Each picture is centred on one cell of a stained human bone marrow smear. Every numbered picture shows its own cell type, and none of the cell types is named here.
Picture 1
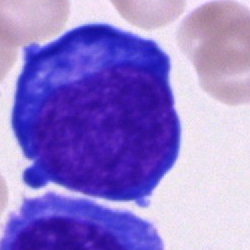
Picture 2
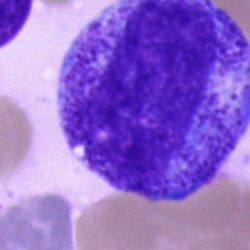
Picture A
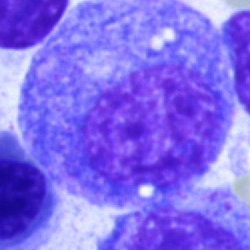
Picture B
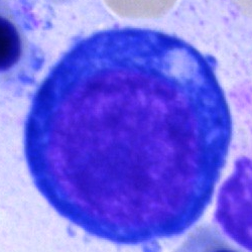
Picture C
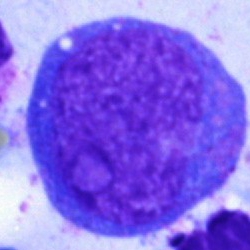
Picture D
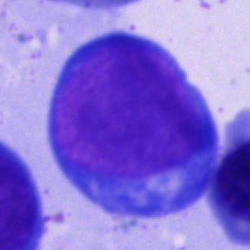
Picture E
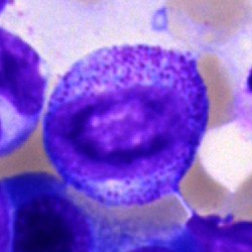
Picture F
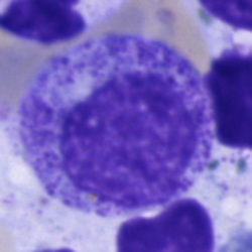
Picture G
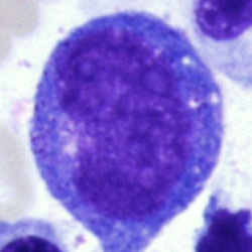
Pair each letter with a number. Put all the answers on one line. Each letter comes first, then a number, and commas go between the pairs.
A 2, B 1, C 2, D 1, E 2, F 2, G 2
